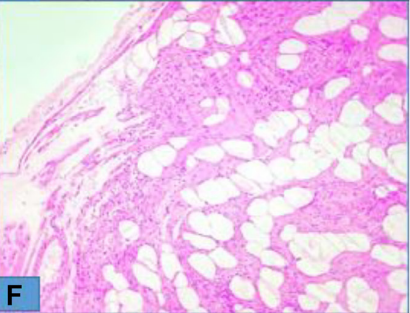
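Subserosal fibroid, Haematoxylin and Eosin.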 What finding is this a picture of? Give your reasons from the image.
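Aggregates of mature adipocytes intermingled with bundles of smooth muscle cells. Clusters of clear, empty fat cells. Pink bundles of spindle cells with elongated nuclei run between the fat cell clusters.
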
